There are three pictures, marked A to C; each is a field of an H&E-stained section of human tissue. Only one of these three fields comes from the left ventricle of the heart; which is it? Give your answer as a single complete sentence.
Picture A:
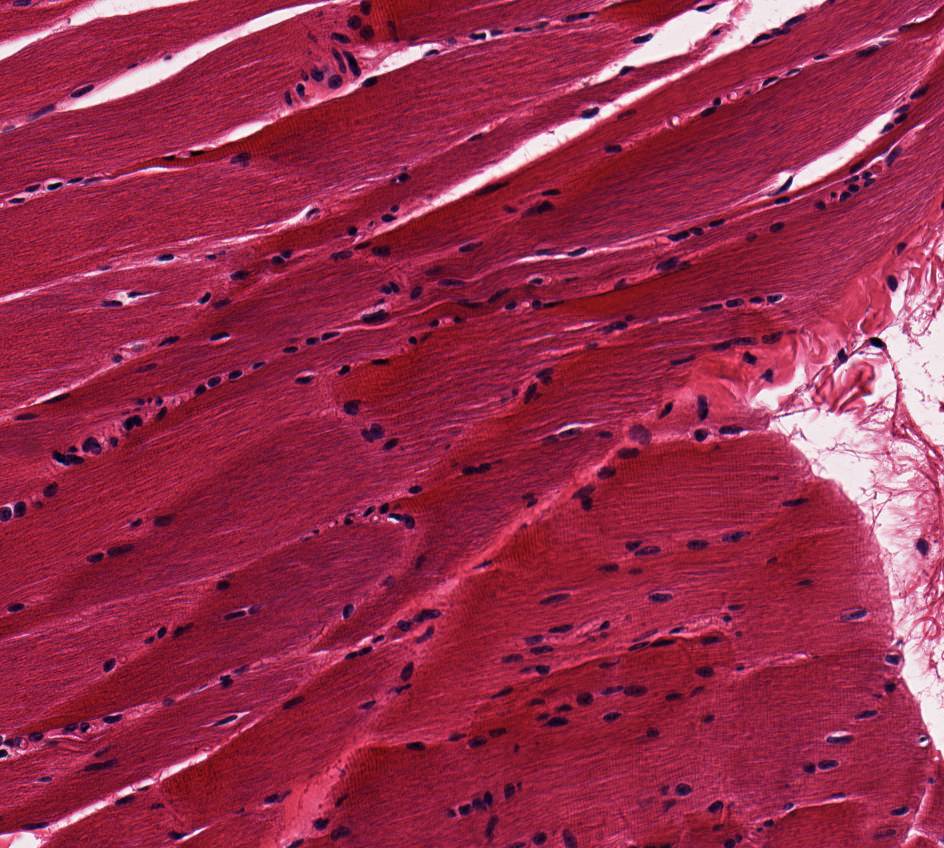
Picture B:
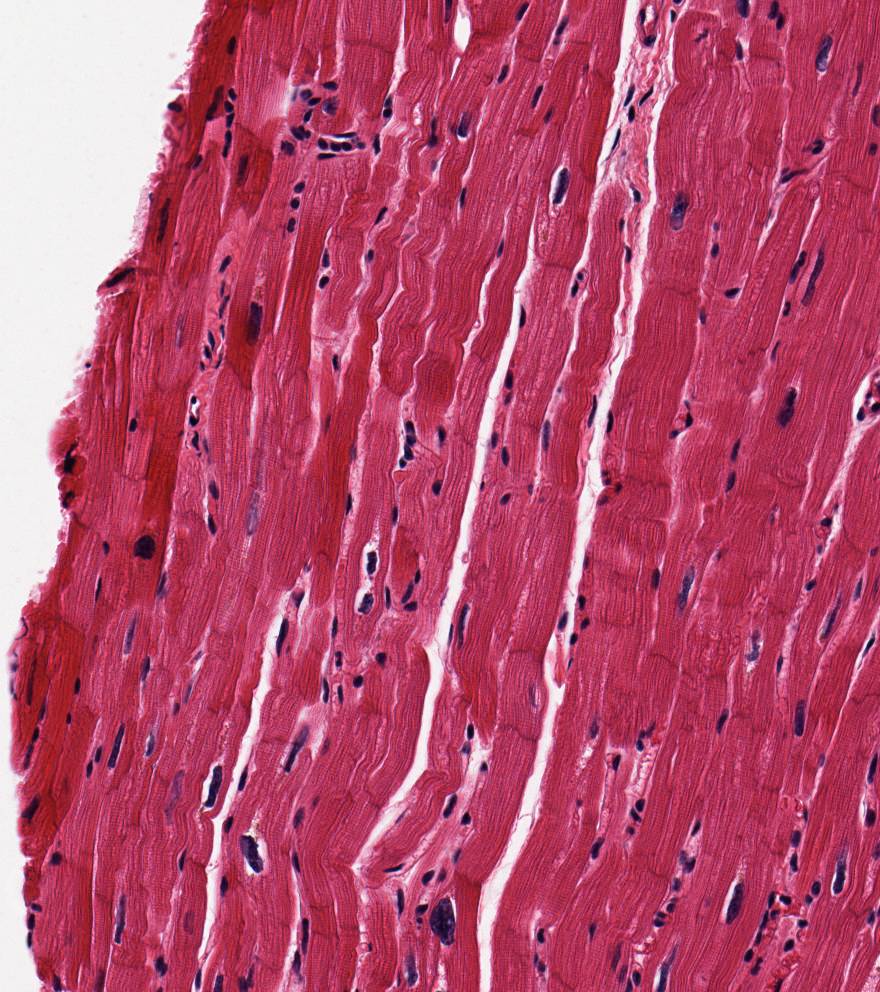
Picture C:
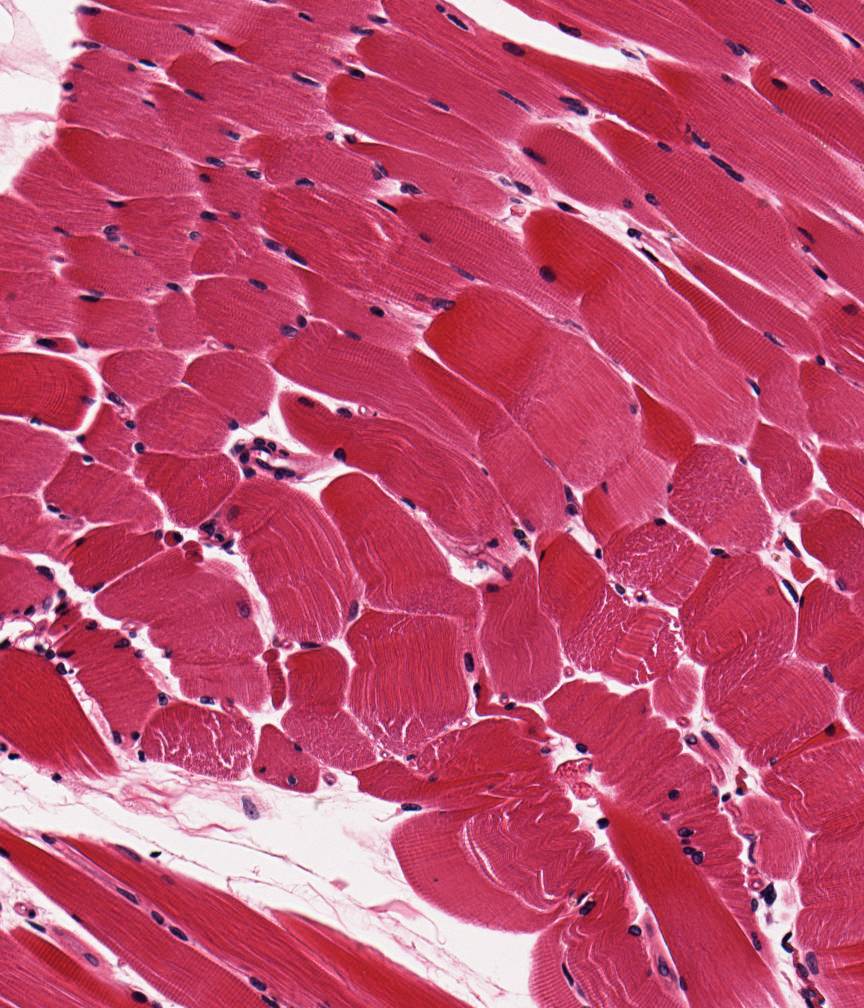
It is picture B that comes from the left ventricle of the heart.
